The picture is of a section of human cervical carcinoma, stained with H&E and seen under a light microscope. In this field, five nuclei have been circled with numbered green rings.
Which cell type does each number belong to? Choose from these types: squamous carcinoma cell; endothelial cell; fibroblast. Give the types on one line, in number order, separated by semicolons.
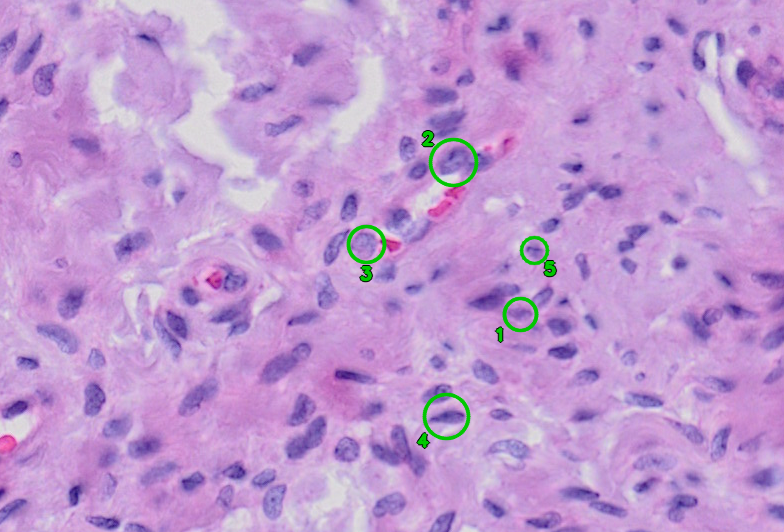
fibroblast; endothelial cell; endothelial cell; fibroblast; fibroblast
